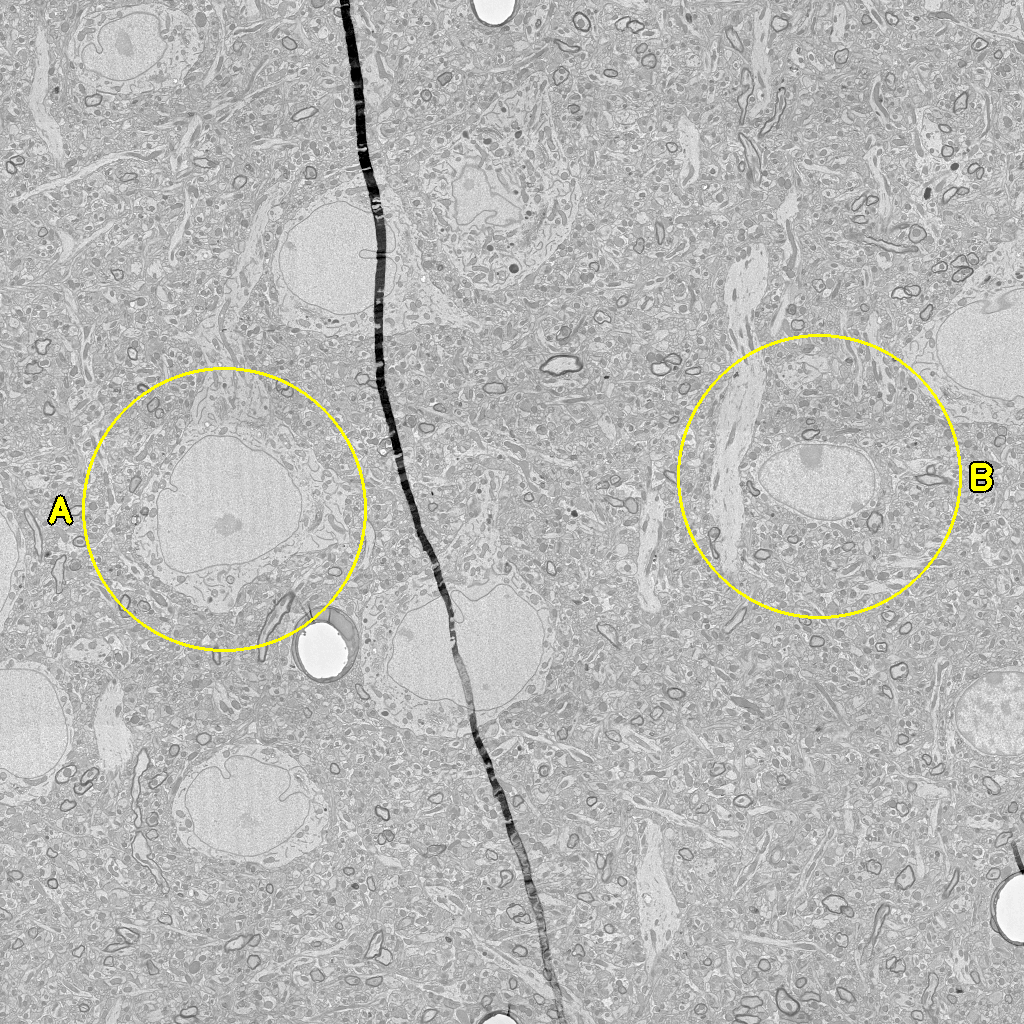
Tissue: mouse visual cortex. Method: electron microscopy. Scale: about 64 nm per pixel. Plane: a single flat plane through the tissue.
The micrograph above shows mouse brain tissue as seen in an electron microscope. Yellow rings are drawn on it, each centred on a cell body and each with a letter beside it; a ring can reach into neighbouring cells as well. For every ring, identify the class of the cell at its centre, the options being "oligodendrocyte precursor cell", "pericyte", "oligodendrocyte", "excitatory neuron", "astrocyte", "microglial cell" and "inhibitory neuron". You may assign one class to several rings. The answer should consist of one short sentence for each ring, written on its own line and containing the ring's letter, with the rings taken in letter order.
The ring lettered A is centred on an excitatory neuron.
The ring lettered B is centred on an astrocyte.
